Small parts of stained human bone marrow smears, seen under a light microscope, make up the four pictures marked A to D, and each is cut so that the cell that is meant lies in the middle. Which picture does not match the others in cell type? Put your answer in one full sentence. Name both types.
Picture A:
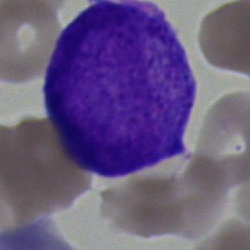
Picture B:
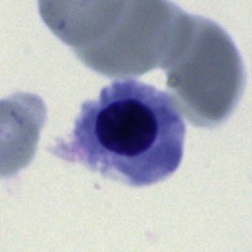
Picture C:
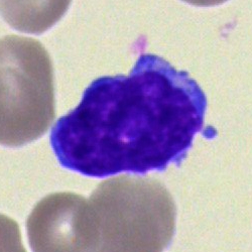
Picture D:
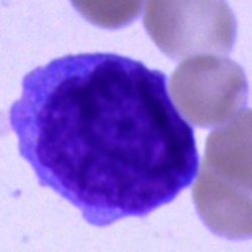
The others show blasts, but picture B shows an erythroblast.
